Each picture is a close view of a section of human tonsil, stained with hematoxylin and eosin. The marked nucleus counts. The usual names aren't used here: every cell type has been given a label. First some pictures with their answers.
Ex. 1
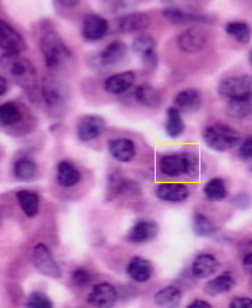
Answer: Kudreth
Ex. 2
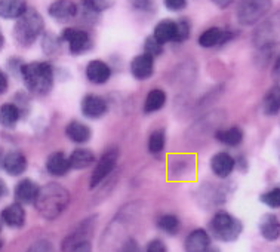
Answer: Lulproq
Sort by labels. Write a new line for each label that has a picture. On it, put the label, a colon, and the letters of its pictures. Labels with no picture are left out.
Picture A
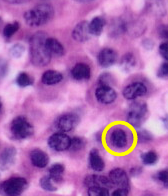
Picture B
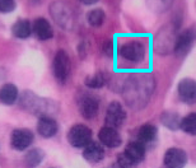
Kudreth: A
Lulproq: B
